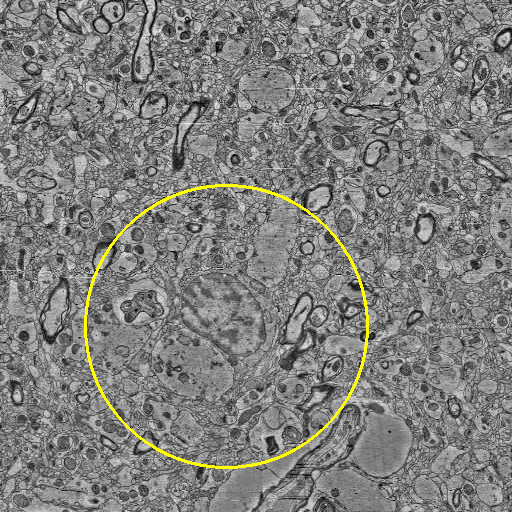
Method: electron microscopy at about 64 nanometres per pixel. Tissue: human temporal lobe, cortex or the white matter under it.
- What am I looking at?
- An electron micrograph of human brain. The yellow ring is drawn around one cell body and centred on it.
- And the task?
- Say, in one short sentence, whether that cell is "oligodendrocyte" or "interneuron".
The cell in the middle of the ring is an oligodendrocyte.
